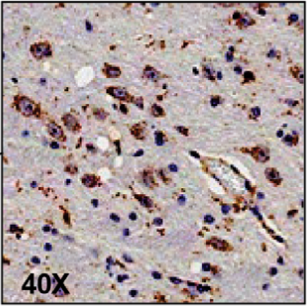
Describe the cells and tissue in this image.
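This is brain tissue at high magnification, with scattered cells lying in a pale, finely fibrous background. Many of the cells carry a brown granular stain in their cytoplasm around a rounded nucleus, and some of these larger, plump cells look like nerve cell bodies. A thin blood vessel runs diagonally through the field, and brown dots also line its wall.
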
